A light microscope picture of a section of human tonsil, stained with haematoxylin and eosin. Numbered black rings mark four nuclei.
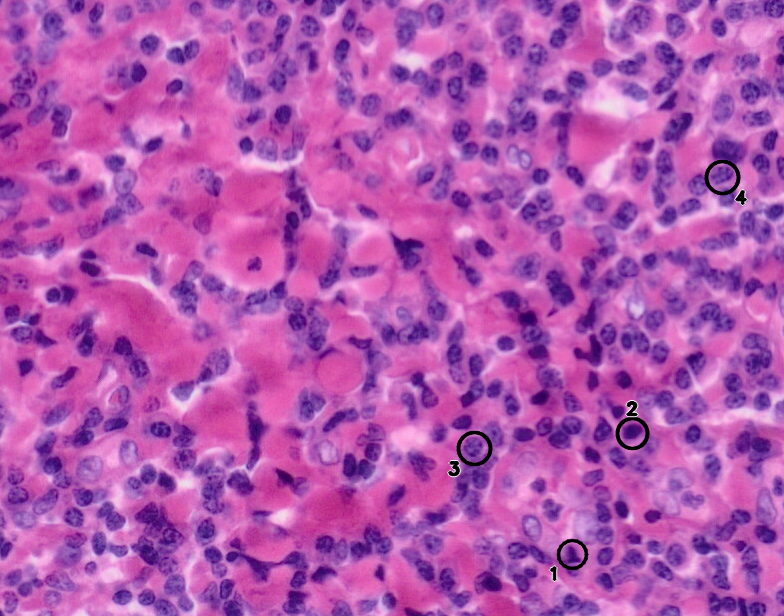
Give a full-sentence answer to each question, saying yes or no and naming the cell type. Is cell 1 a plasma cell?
No, the cell given number 1 is an endothelial cell, as opposed to a plasma cell.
